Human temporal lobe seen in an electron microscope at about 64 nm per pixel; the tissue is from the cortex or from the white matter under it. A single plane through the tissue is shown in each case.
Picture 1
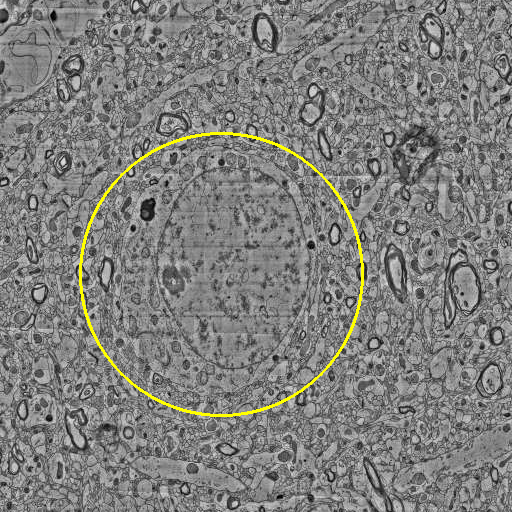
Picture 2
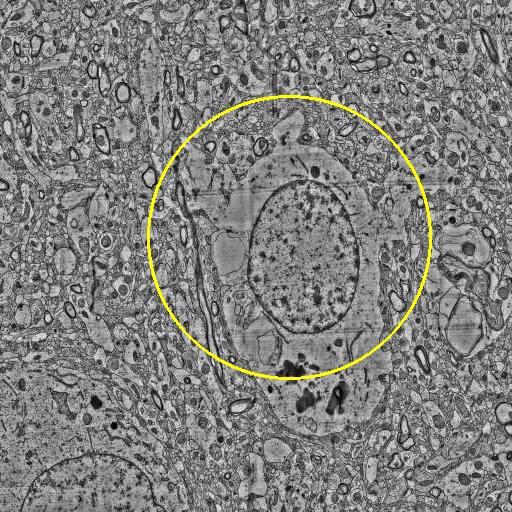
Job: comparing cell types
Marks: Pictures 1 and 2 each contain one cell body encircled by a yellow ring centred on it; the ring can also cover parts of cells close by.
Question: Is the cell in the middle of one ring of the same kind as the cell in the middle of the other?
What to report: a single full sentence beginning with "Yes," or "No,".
No, the cell at the ring centre in Picture 1 and its partner in Picture 2 are of two kinds.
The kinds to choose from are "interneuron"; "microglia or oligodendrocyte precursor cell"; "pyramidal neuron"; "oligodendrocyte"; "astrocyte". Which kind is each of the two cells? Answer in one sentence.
Of the two, the first cell is a pyramidal neuron and the second cell is an astrocyte.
